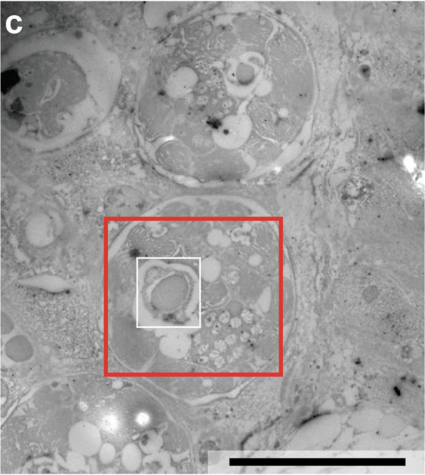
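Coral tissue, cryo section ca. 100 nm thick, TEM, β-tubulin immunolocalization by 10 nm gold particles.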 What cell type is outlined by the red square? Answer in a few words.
Dinoflagellate symbiont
